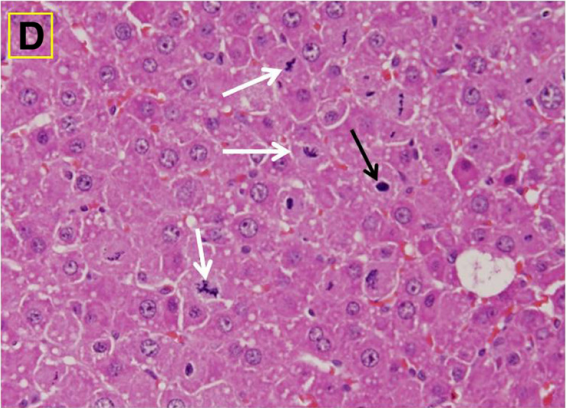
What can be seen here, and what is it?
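This is liver tissue made of closely packed polygonal hepatocytes with pink cytoplasm and round nuclei that carry distinct nucleoli, some cells holding two nuclei. Scattered among them are mitotic figures, dark irregular clumps of condensed chromosomes without a nuclear outline. A small, shrunken, densely dark nucleus stands out as pyknotic among the normal round nuclei. Narrow sinusoids with red blood cells run between the cords, and a small clear vessel lumen lies at the right.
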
